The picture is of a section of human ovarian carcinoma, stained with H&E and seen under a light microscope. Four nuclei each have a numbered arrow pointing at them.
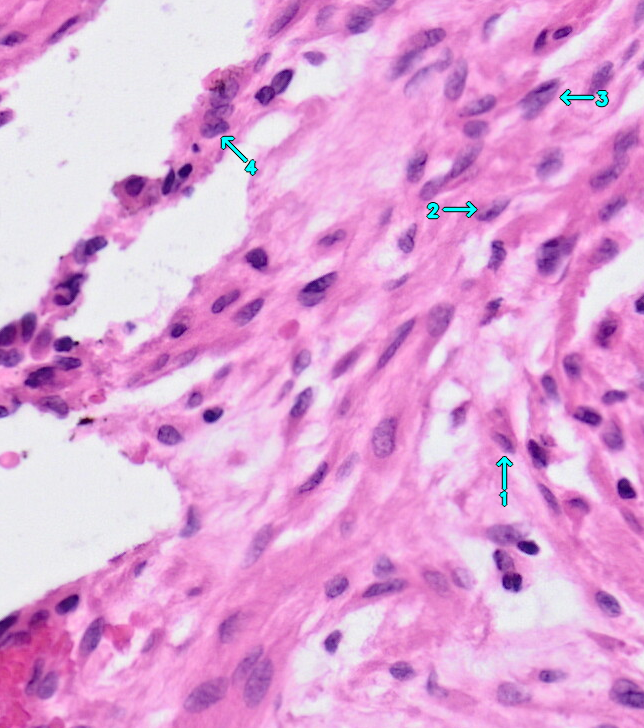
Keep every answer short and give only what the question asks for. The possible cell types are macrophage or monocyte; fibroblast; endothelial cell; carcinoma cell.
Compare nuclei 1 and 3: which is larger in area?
3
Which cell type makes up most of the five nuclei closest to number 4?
macrophage or monocyte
